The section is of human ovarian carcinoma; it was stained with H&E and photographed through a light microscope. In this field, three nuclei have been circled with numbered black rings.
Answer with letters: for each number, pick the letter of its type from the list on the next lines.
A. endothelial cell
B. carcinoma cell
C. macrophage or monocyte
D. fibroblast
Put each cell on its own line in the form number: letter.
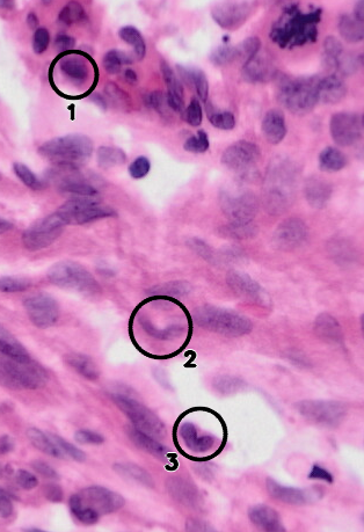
1: A
2: D
3: C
